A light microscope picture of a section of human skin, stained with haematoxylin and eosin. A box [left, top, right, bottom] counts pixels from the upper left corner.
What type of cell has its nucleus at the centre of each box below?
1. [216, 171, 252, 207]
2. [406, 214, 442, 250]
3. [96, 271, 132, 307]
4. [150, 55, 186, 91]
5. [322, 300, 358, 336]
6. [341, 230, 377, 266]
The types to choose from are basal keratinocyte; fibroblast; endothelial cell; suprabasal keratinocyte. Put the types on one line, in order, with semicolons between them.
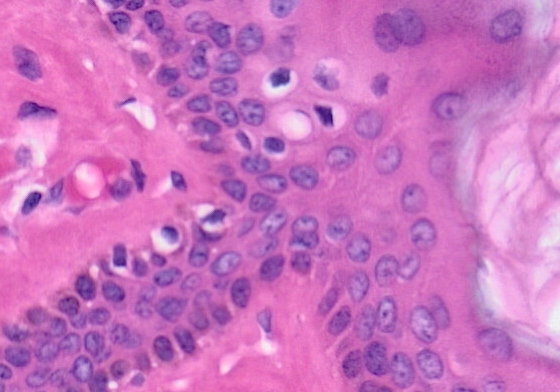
basal keratinocyte; suprabasal keratinocyte; basal keratinocyte; basal keratinocyte; basal keratinocyte; suprabasal keratinocyte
